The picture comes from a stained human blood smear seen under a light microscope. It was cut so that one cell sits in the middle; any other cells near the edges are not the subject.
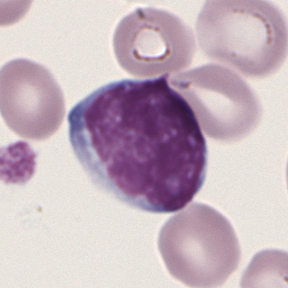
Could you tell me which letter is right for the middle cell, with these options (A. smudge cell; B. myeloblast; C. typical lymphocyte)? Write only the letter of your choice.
C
